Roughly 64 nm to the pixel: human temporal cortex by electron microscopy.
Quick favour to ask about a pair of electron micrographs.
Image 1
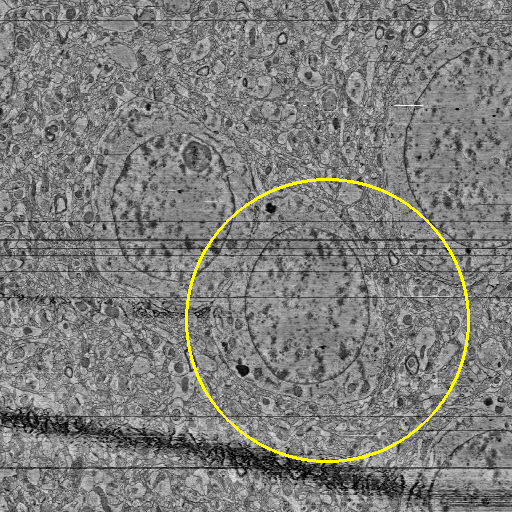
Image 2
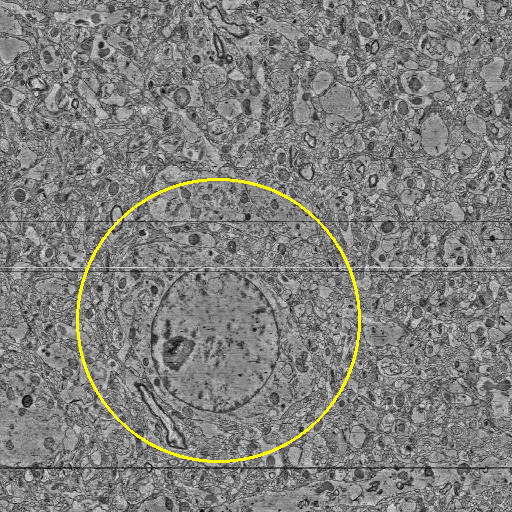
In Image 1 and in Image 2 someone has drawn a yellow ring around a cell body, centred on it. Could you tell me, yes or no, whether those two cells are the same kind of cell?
yes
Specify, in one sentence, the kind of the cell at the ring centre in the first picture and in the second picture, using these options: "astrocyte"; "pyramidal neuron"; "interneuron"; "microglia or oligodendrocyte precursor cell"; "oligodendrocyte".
Each of the two cells is a pyramidal neuron.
